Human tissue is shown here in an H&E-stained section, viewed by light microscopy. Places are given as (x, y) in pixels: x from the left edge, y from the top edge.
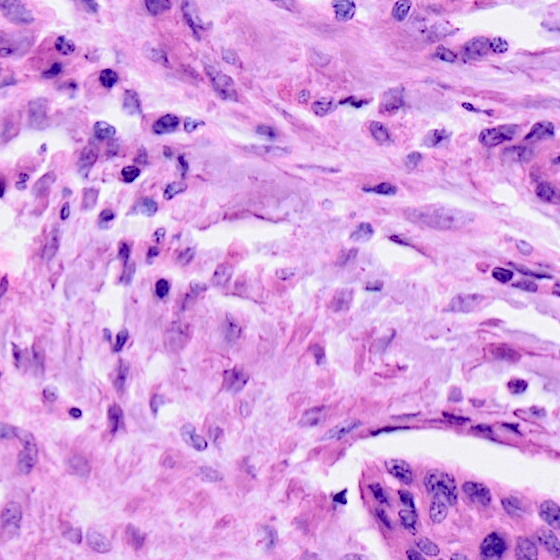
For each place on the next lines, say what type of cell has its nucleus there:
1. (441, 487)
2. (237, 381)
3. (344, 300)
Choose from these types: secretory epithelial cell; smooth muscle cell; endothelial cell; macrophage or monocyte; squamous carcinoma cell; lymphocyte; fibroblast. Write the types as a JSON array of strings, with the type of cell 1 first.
["squamous carcinoma cell", "fibroblast", "fibroblast"]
